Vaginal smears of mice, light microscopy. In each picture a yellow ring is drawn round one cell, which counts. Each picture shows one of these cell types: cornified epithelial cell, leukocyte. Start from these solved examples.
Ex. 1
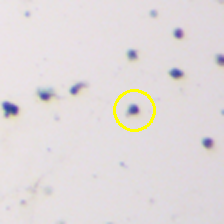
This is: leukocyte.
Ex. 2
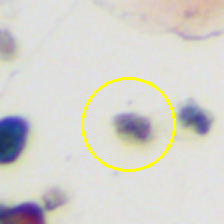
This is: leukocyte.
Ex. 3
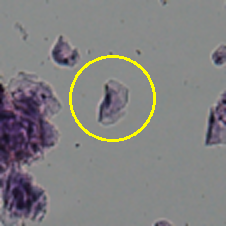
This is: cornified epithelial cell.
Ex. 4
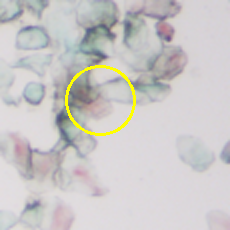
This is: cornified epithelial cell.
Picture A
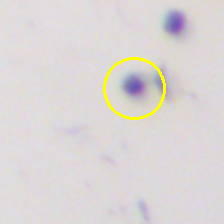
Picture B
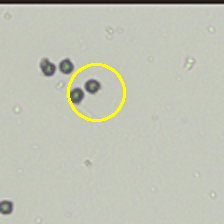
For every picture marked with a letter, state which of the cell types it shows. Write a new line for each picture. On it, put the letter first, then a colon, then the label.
A: leukocyte.
B: leukocyte.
